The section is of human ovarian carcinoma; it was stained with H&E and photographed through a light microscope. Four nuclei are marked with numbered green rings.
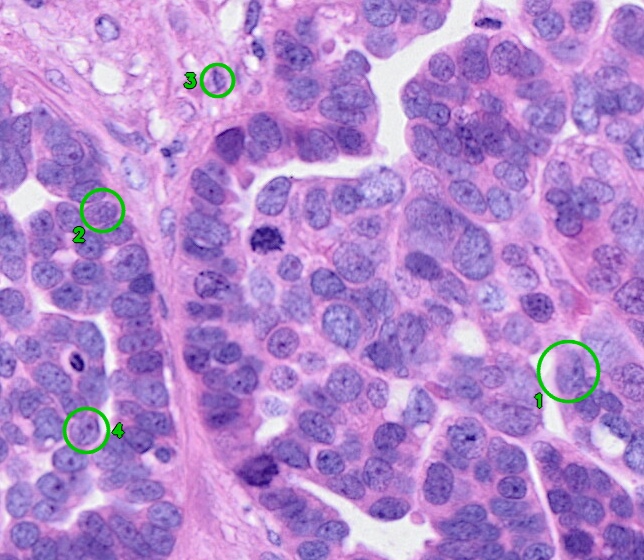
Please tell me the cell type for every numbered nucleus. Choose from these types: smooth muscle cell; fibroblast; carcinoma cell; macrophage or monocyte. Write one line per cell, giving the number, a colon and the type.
1: carcinoma cell
2: carcinoma cell
3: fibroblast
4: carcinoma cell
